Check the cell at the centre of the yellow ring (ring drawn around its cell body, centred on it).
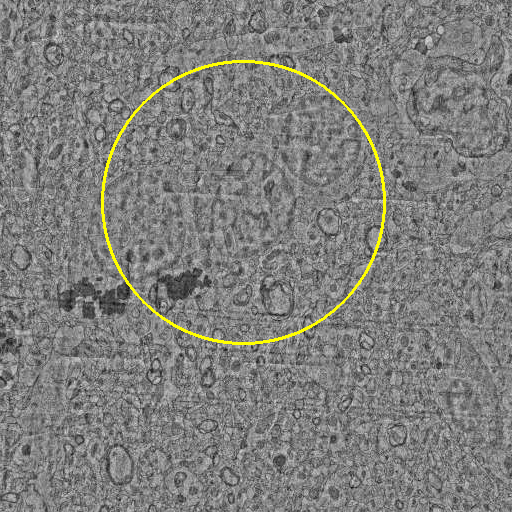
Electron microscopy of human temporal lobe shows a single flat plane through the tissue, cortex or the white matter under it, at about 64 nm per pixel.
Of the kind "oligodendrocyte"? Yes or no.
yes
